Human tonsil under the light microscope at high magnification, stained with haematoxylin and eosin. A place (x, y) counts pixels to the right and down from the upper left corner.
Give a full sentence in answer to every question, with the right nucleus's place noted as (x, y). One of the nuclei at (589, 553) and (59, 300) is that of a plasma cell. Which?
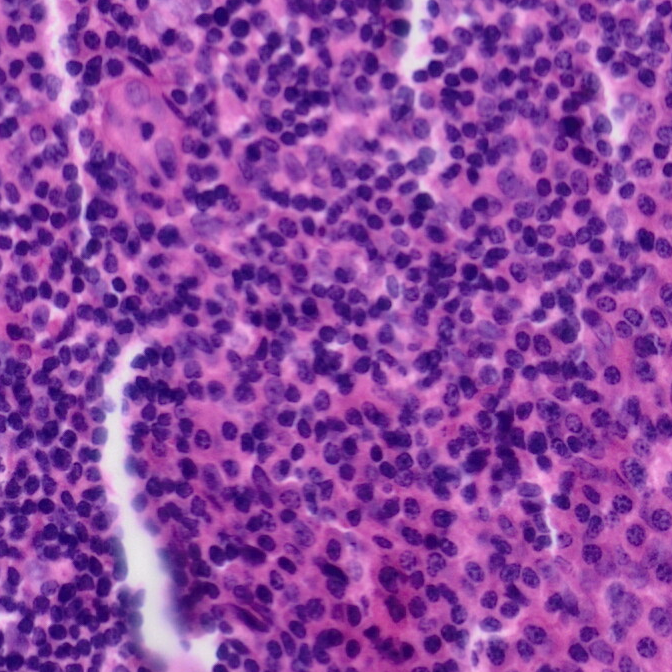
The nucleus that sits at (589, 553) is the nucleus of a plasma cell.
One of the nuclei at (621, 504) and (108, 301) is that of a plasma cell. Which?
Of the two nuclei, it is the one at (621, 504) that lies within a plasma cell.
